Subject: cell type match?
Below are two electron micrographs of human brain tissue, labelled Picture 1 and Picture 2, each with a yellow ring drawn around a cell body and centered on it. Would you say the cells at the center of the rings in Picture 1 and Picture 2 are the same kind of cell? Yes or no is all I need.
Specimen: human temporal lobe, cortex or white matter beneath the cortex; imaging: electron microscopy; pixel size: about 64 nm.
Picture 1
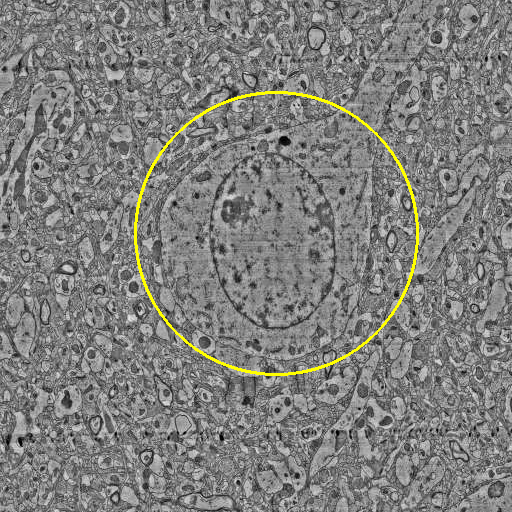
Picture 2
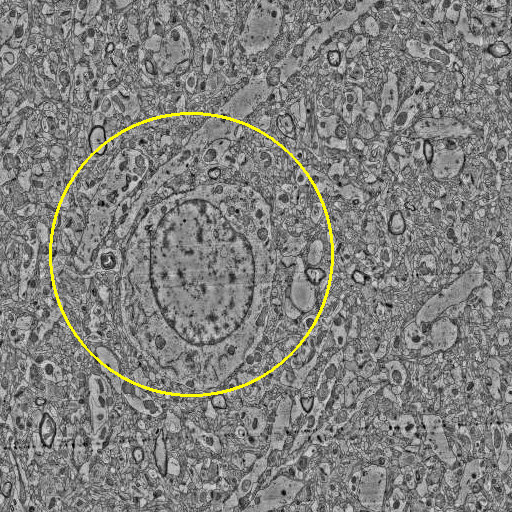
yes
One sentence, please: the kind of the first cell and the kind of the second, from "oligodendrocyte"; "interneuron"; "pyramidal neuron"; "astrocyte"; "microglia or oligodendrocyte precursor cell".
The first and the second cell are each a pyramidal neuron.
